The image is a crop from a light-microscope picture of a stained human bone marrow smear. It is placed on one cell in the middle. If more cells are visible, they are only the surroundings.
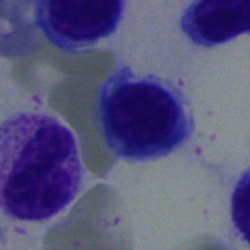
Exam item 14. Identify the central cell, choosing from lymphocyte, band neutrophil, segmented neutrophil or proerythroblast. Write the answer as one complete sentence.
Whatever else lies nearby, the middle cell is a lymphocyte.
